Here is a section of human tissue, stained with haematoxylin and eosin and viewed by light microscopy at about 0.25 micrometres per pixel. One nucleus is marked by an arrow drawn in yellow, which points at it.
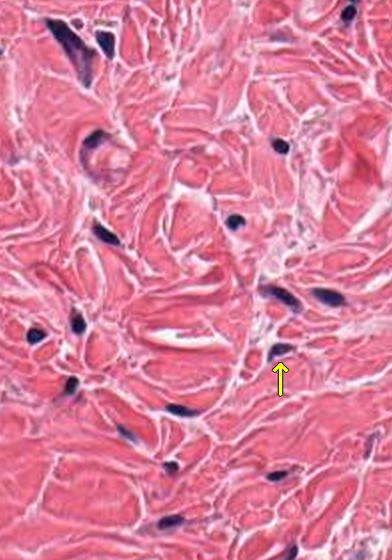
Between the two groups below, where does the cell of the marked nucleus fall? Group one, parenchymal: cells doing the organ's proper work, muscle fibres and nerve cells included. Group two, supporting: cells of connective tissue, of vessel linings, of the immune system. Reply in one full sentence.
The marked nucleus is seen within a supporting cell.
